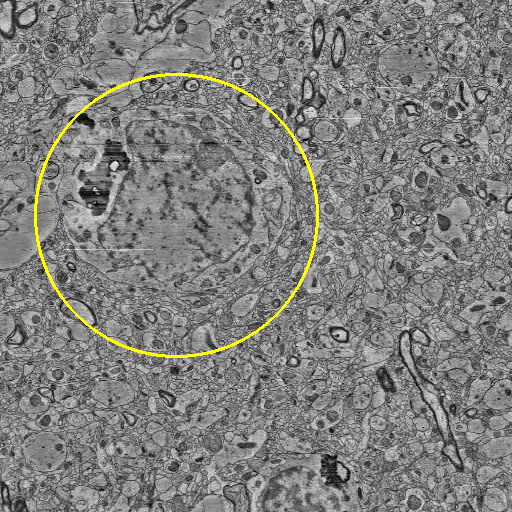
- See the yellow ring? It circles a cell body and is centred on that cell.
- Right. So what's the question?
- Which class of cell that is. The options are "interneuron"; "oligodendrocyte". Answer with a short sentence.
The centre of the ring holds an interneuron.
